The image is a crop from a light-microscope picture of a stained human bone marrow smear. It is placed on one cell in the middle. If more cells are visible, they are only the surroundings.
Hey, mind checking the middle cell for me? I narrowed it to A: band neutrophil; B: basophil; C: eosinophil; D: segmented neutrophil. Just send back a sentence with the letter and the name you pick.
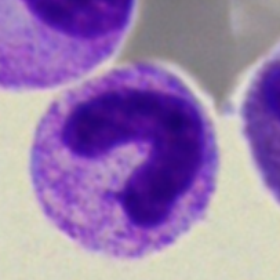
The cell centered in the crop is a band neutrophil, making option A the correct pick.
